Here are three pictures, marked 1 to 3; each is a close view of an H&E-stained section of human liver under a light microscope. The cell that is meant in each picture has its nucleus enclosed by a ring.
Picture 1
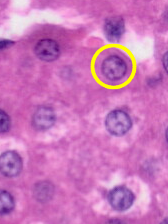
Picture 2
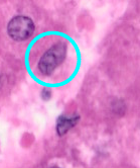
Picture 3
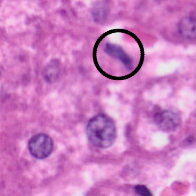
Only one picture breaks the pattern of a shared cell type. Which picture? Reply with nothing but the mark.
1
